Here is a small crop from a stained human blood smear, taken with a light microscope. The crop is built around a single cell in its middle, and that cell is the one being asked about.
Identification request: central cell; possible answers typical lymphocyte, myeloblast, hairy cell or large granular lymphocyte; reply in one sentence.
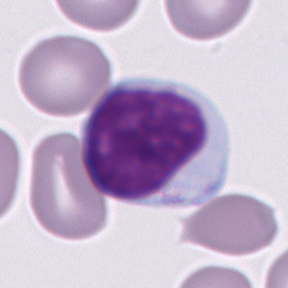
In the crop, the cell of interest at the centre is a large granular lymphocyte.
